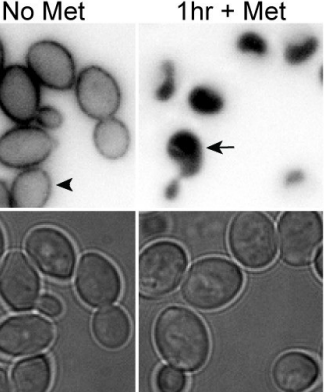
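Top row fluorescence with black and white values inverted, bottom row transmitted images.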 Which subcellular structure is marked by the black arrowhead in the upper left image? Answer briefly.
plasma membrane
